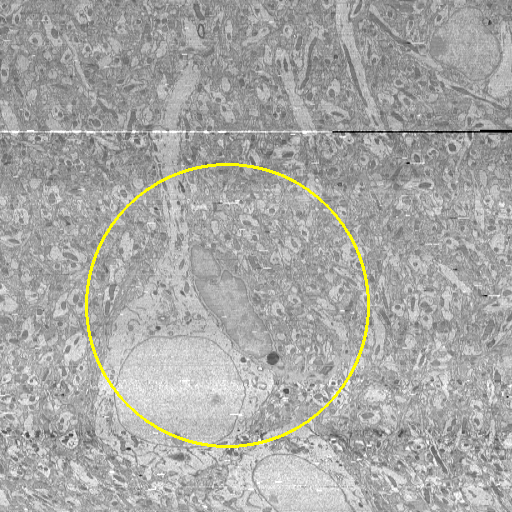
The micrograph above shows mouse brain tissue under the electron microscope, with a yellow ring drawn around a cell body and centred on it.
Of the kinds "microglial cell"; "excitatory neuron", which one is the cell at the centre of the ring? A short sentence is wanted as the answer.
The one at the centre of the ring is a microglial cell.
